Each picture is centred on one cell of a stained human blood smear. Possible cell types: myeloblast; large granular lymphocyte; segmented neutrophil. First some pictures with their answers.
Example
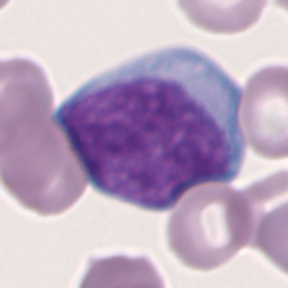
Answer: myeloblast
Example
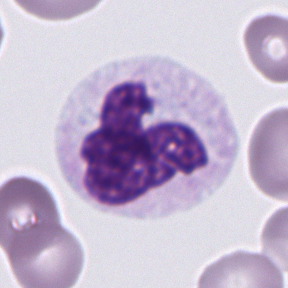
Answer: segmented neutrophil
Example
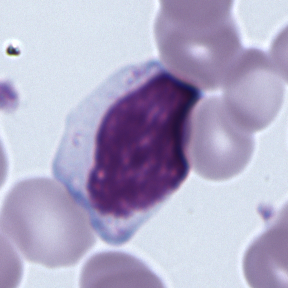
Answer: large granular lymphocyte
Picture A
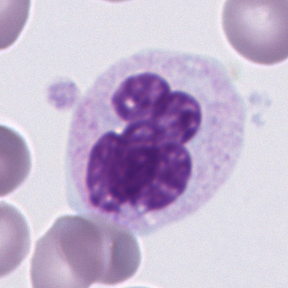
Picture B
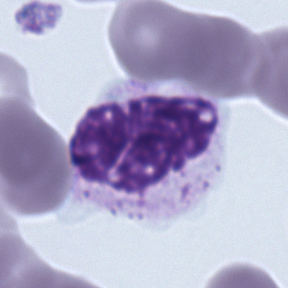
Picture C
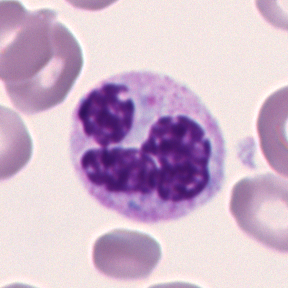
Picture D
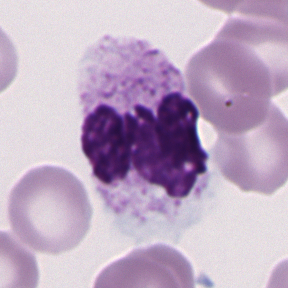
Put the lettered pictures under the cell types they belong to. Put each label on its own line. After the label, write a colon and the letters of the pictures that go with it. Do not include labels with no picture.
segmented neutrophil: A, B, C, D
